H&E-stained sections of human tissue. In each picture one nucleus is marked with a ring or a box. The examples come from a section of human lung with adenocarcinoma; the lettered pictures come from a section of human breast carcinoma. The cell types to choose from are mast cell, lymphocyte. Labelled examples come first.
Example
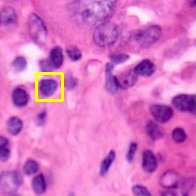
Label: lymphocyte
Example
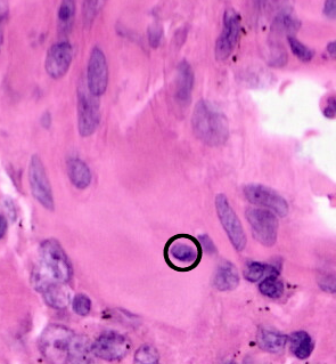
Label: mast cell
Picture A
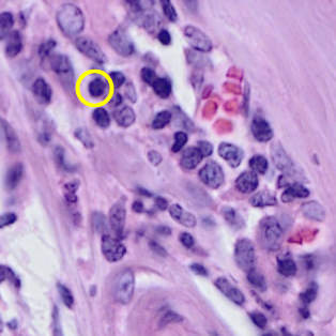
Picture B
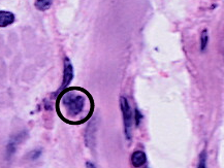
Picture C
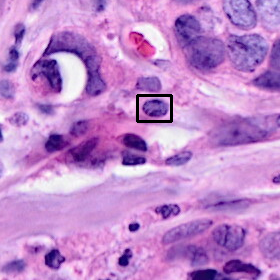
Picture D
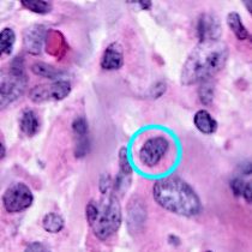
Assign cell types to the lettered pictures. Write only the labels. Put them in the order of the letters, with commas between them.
lymphocyte, lymphocyte, mast cell, mast cell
